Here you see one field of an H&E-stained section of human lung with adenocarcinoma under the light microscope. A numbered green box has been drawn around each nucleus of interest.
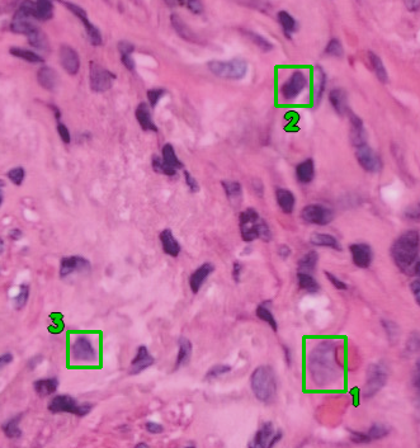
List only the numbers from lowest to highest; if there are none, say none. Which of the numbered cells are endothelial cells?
1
